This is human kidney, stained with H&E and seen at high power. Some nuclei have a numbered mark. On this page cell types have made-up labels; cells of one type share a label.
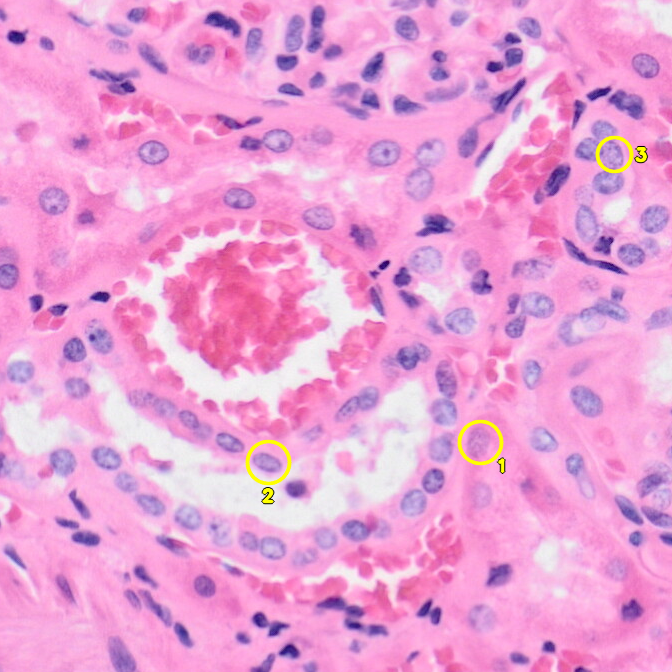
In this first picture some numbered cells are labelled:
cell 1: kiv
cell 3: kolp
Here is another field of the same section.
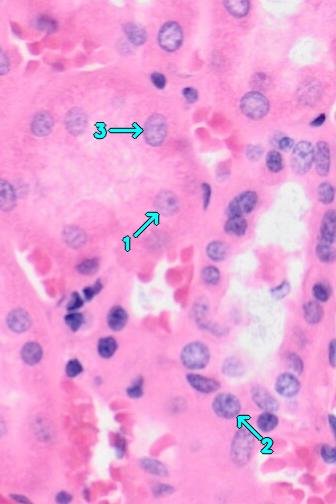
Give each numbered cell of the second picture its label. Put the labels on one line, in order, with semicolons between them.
kiv; kolp; kiv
